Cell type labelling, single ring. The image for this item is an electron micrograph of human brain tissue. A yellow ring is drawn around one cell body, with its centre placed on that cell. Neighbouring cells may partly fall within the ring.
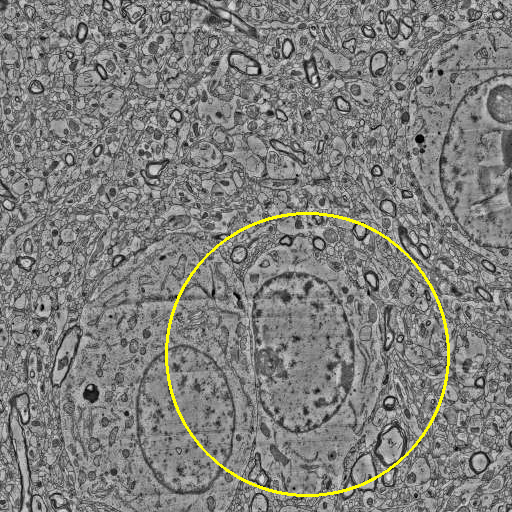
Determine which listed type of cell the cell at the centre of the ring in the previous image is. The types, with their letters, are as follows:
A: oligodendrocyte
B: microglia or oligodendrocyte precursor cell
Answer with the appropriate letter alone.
B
